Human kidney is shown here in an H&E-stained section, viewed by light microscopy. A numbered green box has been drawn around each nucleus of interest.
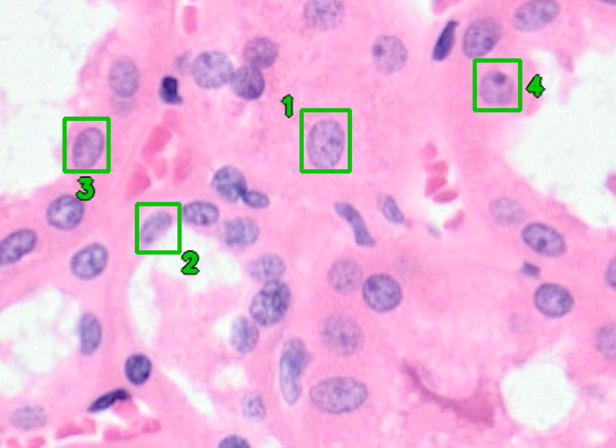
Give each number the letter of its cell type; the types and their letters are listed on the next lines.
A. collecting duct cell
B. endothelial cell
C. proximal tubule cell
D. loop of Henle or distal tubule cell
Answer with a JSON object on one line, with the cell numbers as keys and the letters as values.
{"1": "C", "2": "A", "3": "C", "4": "C"}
